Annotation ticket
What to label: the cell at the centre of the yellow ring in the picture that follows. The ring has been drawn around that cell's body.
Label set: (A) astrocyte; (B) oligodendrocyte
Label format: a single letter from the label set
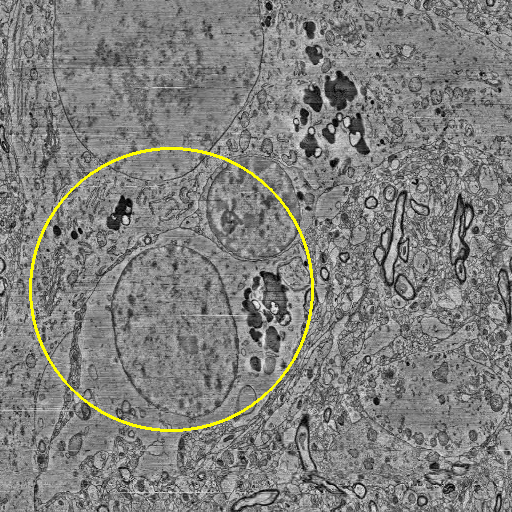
A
